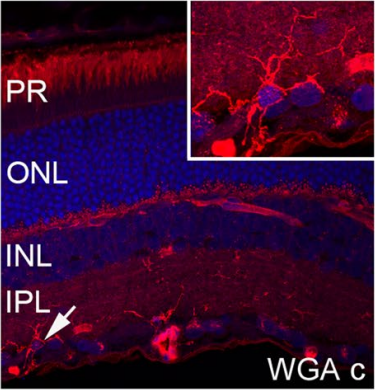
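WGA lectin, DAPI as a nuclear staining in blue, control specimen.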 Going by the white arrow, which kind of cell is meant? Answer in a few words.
Microglia cells.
